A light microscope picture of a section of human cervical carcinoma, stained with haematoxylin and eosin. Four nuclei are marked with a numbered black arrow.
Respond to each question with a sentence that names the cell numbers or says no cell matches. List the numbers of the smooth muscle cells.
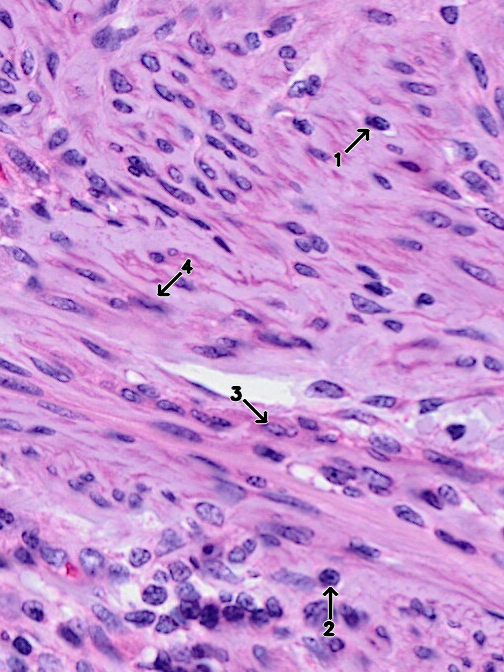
Cell 4 is a smooth muscle cell, and it is the only numbered cell that is.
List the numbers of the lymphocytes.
In terms of cell type, cells 1 and 2 are lymphocytes.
